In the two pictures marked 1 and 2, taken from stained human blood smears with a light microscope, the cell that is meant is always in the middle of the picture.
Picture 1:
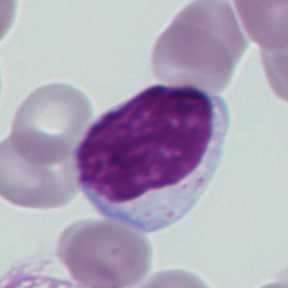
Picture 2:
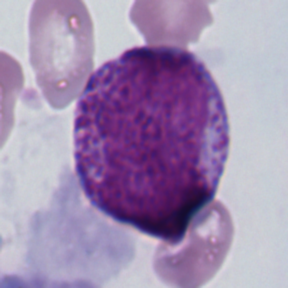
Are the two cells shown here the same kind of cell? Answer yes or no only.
no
